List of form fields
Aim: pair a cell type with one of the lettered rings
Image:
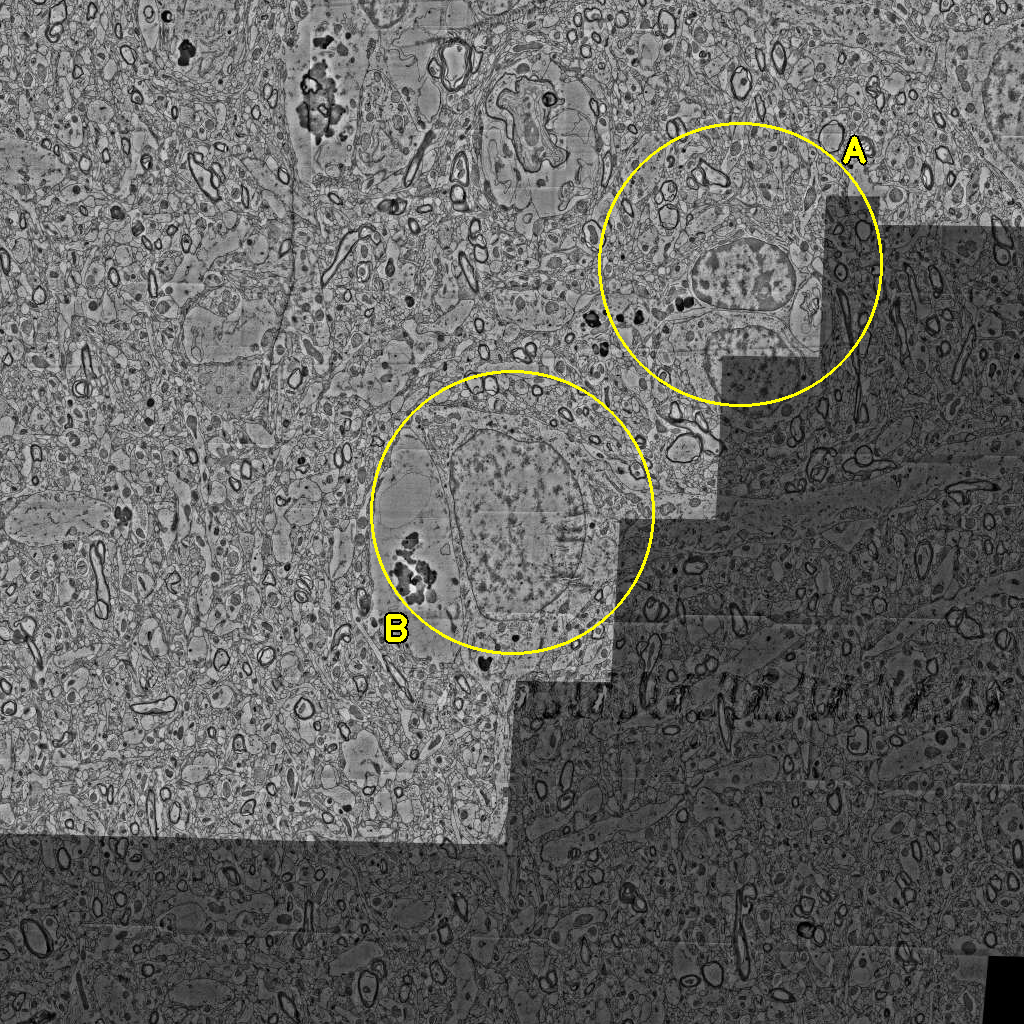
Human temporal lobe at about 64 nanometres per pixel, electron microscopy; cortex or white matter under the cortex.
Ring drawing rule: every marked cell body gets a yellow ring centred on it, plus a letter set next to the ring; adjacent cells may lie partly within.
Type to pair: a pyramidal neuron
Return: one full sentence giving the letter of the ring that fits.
Ring B is the one whose central cell body is that kind of cell.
